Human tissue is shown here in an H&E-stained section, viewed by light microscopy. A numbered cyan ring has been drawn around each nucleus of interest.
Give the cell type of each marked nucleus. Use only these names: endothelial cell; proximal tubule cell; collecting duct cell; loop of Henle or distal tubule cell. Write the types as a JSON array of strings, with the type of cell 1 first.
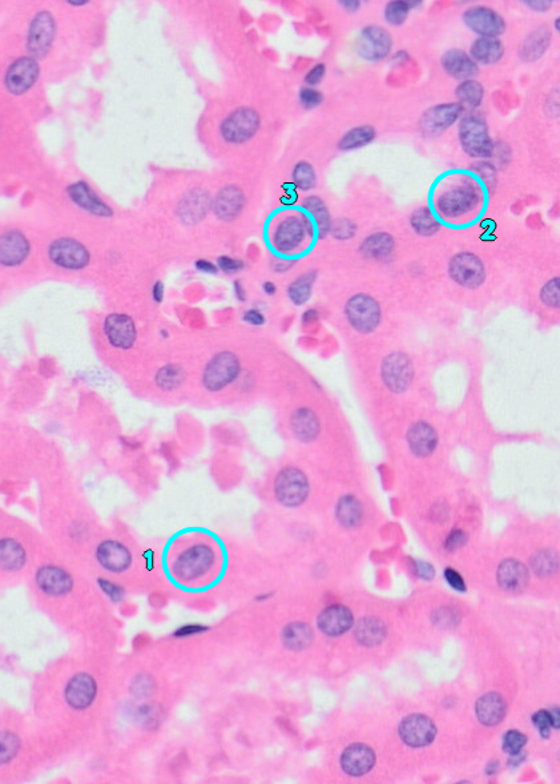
["proximal tubule cell", "collecting duct cell", "collecting duct cell"]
